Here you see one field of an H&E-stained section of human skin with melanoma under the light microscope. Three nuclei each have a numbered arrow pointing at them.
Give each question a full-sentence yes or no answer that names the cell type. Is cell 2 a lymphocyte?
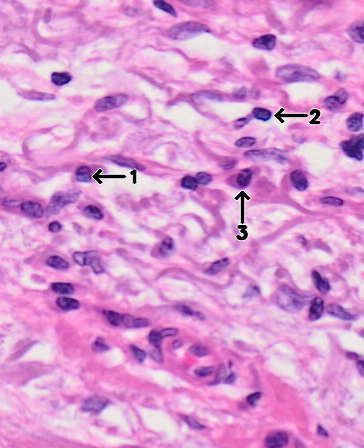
Yes, that is so; number 2 marks a lymphocyte.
